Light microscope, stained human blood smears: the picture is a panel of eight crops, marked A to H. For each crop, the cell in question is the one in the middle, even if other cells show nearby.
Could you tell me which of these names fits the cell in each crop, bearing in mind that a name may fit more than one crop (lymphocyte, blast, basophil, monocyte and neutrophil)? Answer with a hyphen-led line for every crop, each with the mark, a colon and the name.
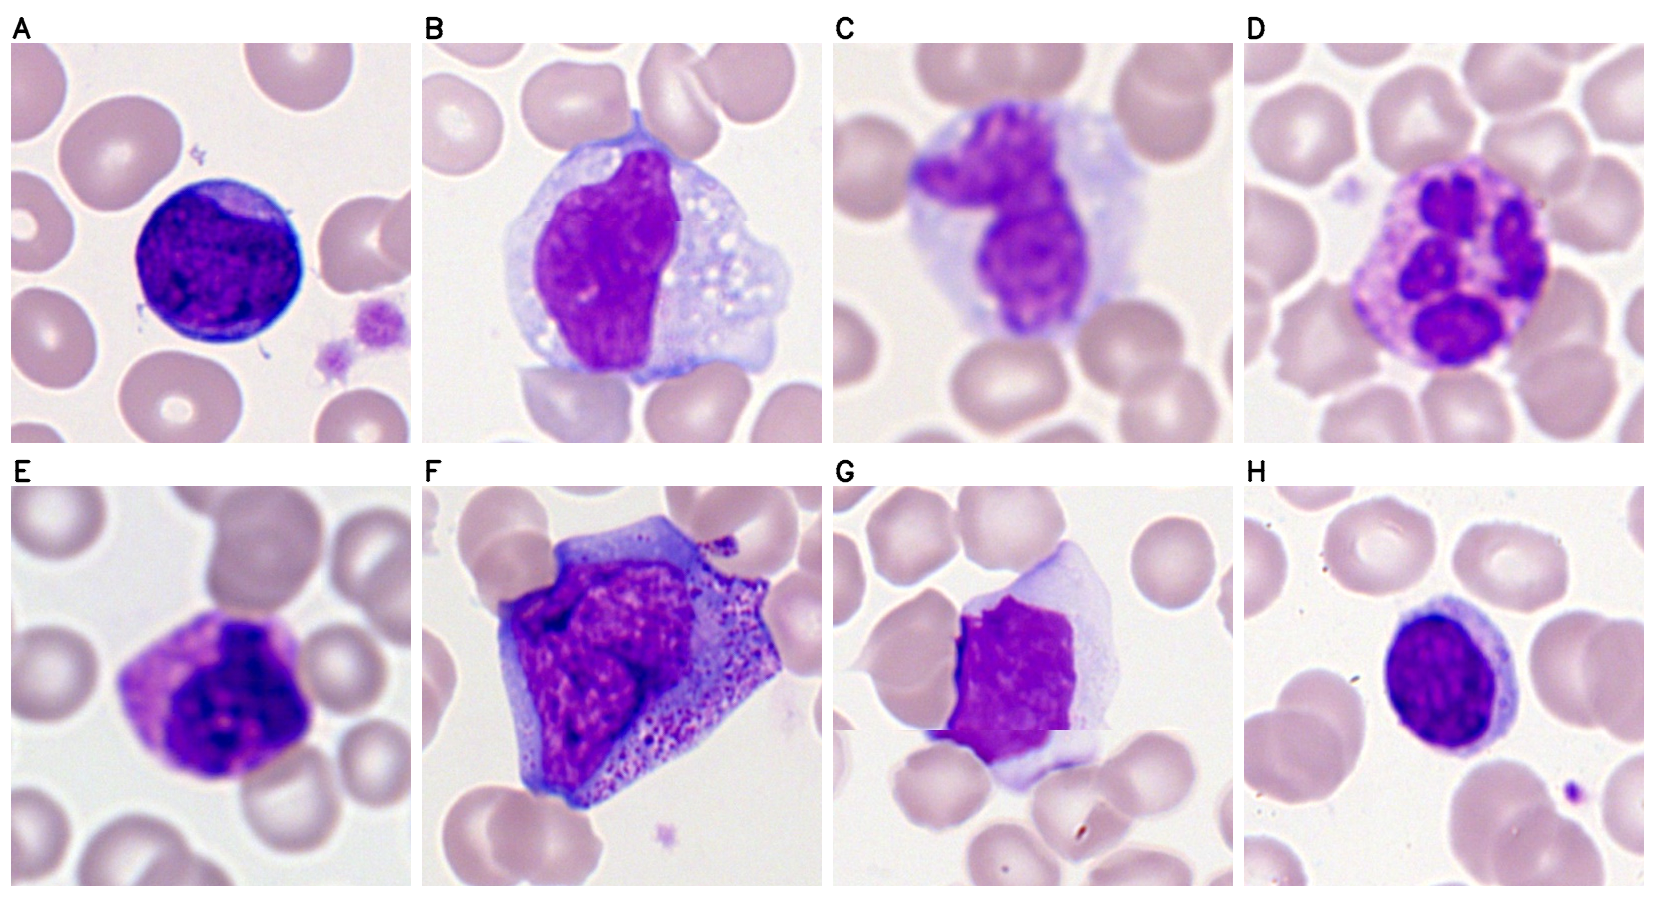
- A: blast
- B: monocyte
- C: monocyte
- D: basophil
- E: basophil
- F: blast
- G: lymphocyte
- H: lymphocyte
